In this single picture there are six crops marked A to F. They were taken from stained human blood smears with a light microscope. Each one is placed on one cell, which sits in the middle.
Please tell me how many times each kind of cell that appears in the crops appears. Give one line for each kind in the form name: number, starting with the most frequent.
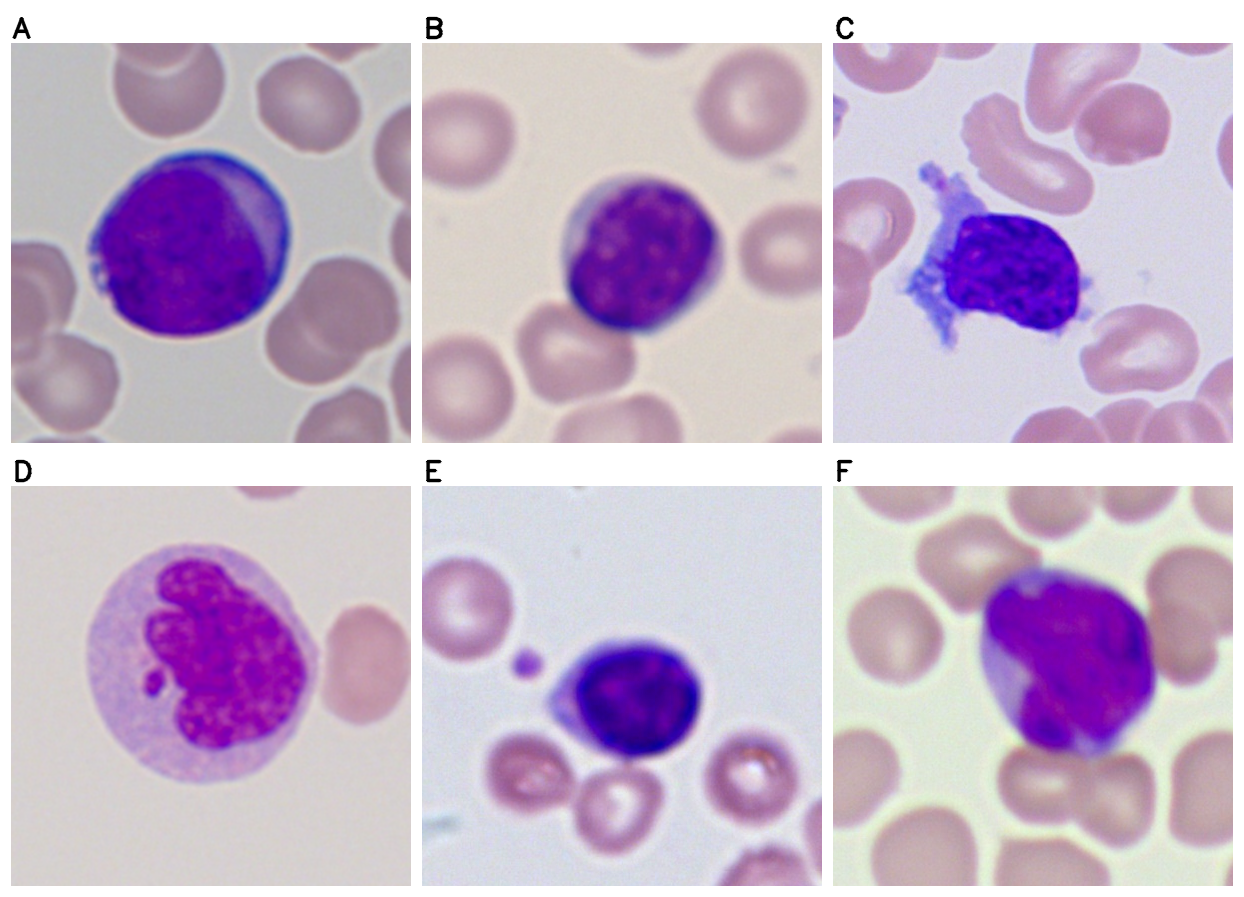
lymphocyte: 3
myeloblast: 2
monocyte: 1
